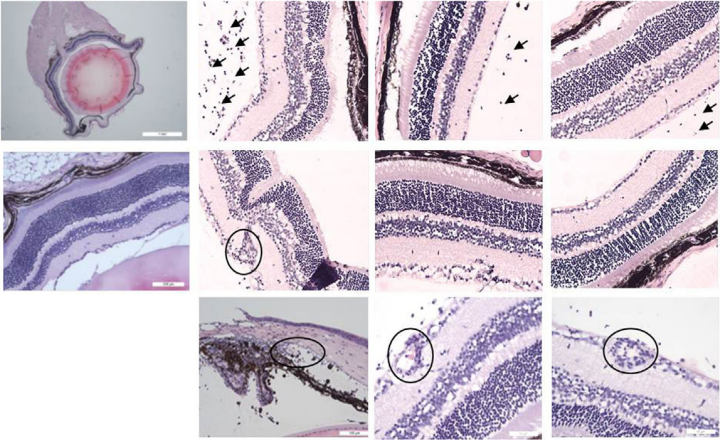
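These are sections of the eye stained pink and purple. Most of the frames show the retina, with its neat bands of densely packed, dark purple nuclei separated by paler pink layers, and a dark brown pigmented layer along the outer edge. In several frames, small dark round cells lie scattered in the pale space on the inner side of the retina. Circled areas show small clusters of such cells gathered together.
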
